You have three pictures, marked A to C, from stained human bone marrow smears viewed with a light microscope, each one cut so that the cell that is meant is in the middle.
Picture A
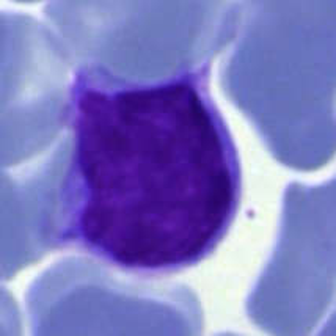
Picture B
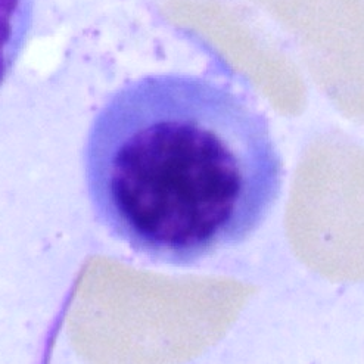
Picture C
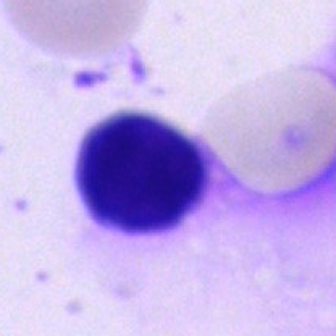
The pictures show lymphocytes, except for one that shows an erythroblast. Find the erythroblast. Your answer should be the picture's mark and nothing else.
B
